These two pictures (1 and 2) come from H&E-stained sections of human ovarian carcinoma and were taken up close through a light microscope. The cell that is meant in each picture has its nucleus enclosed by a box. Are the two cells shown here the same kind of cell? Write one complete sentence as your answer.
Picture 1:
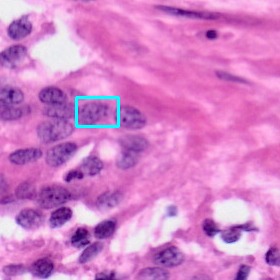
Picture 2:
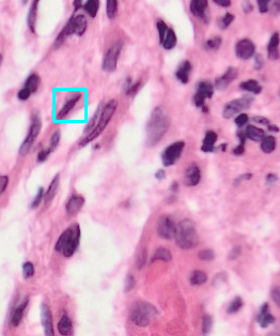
No, the types are not the same, since picture 1 shows a carcinoma cell and picture 2 a fibroblast.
